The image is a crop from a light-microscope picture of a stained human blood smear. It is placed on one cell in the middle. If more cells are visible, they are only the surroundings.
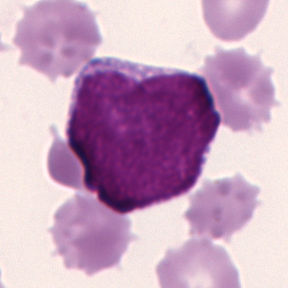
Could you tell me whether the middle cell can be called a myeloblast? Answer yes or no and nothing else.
yes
